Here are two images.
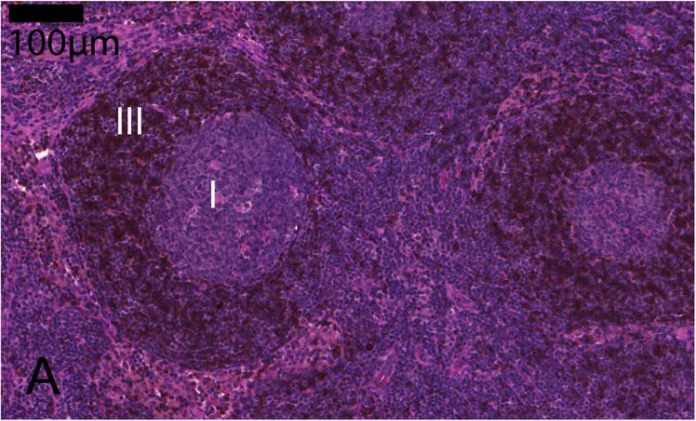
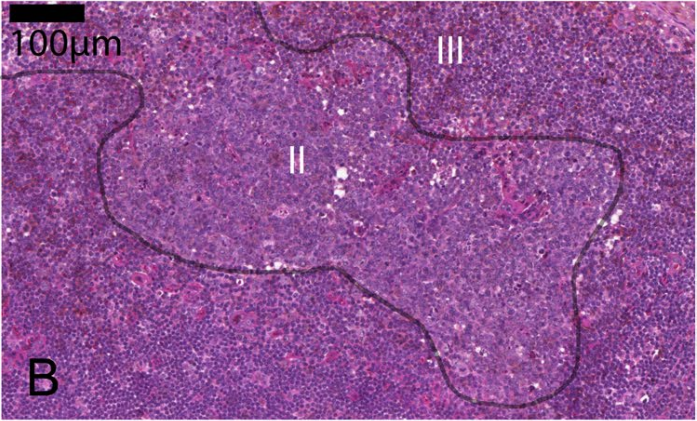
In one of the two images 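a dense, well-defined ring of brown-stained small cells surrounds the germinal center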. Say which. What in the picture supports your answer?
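Second image: the pale irregular center is bordered by small cells with little brown staining and no clear ring. First image: a thick dark brown ring of small cells encircles the pale round center. So: the first image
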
